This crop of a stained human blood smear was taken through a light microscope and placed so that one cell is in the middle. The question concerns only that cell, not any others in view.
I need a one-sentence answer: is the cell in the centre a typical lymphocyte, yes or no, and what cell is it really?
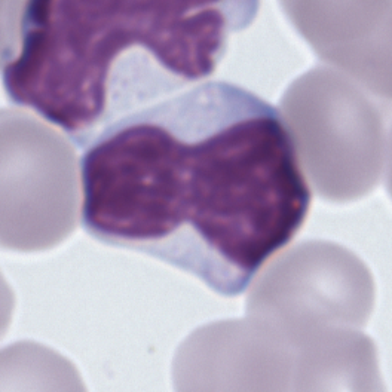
No, it is not a typical lymphocyte that lies in the middle but a large granular lymphocyte.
